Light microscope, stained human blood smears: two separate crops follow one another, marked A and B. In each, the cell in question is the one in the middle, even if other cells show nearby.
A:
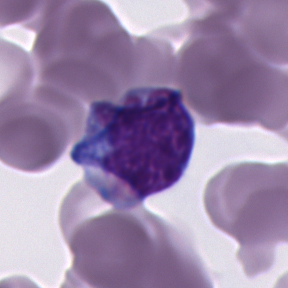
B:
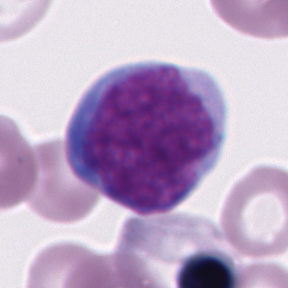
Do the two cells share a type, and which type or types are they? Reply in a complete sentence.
No, a typical lymphocyte is in crop A, and a myeloblast is in crop B.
